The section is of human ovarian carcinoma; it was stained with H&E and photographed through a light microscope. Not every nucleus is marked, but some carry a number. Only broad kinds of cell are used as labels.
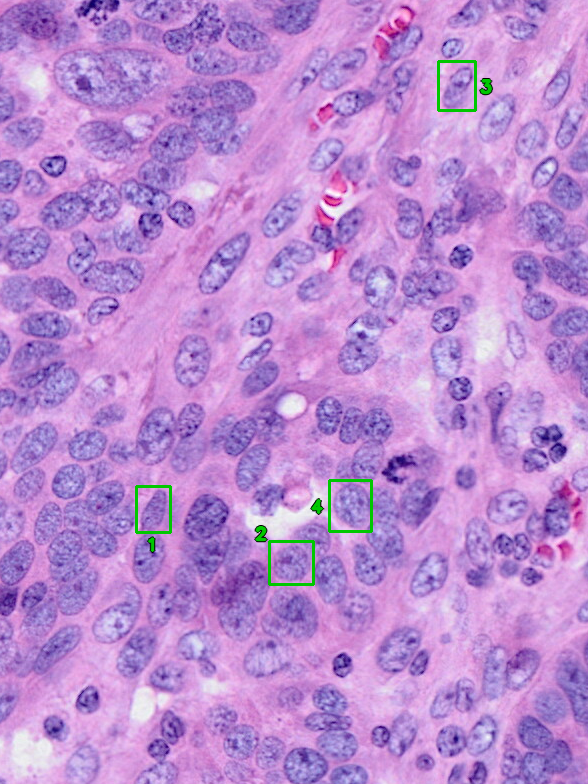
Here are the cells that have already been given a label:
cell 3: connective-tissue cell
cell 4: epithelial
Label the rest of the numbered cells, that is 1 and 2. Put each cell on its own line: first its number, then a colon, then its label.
1: epithelial
2: epithelial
